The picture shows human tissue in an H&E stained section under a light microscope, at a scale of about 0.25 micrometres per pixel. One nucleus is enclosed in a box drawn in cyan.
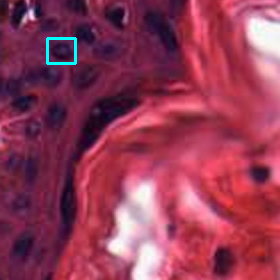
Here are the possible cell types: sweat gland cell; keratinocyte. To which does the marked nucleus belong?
keratinocyte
